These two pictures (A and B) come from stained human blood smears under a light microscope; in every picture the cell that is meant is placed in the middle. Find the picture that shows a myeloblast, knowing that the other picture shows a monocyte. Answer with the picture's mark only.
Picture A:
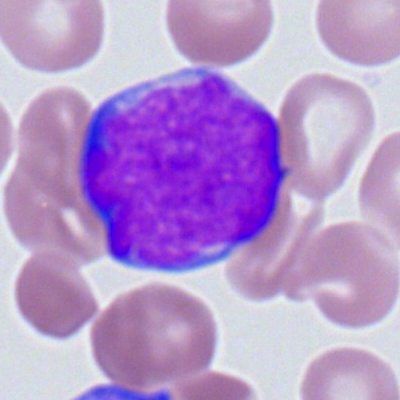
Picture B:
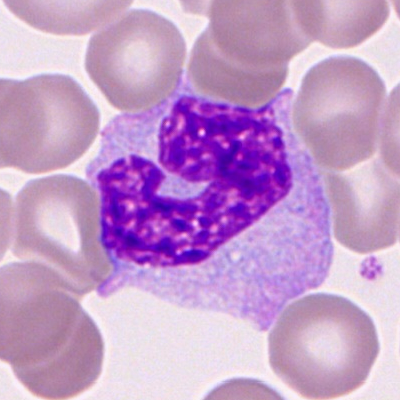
A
